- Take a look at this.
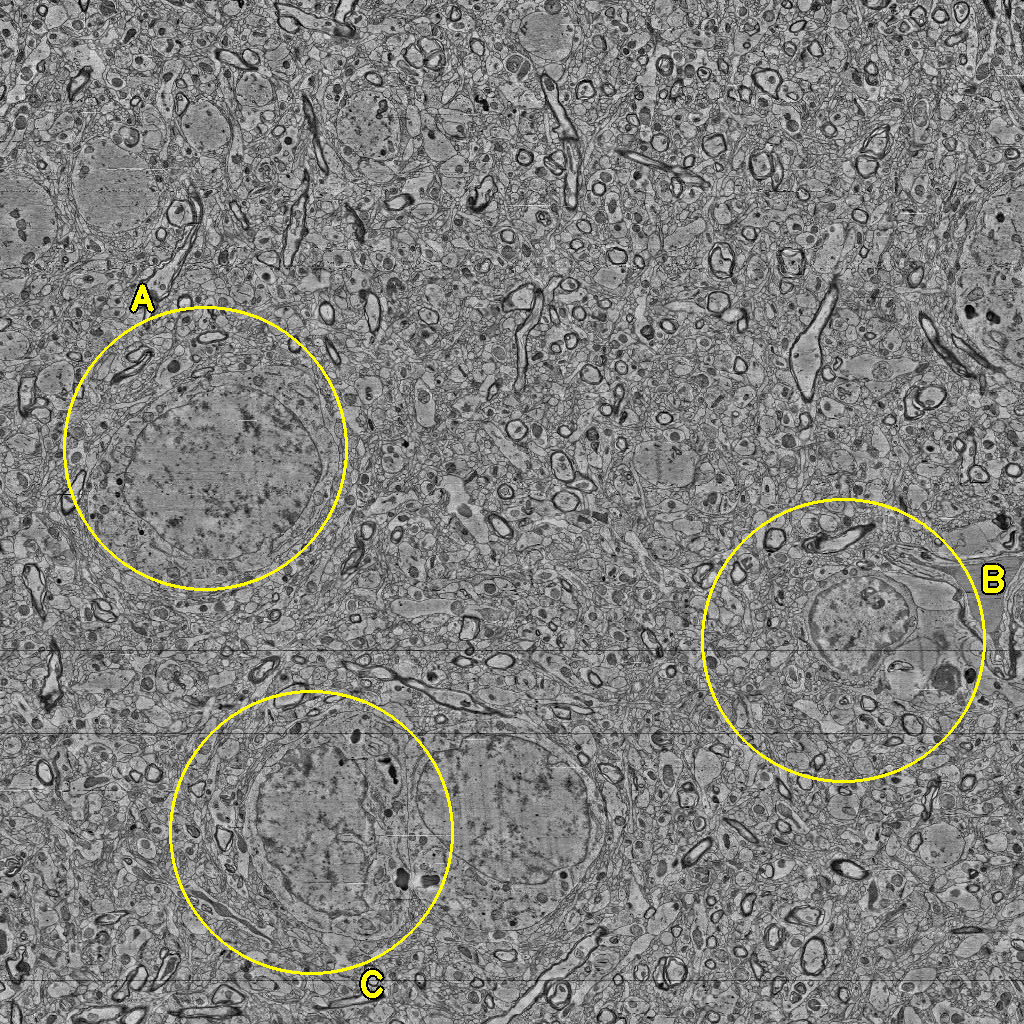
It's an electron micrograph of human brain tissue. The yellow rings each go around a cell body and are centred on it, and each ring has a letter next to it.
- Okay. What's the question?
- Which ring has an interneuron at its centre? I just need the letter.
C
